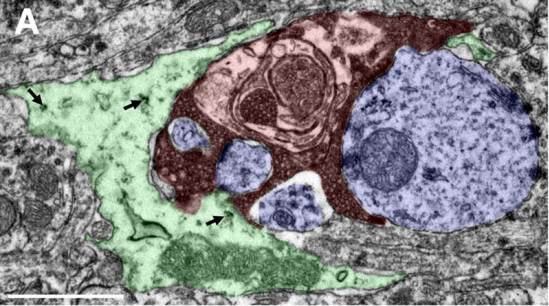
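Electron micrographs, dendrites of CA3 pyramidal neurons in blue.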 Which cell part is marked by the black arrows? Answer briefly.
Glycogen granules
